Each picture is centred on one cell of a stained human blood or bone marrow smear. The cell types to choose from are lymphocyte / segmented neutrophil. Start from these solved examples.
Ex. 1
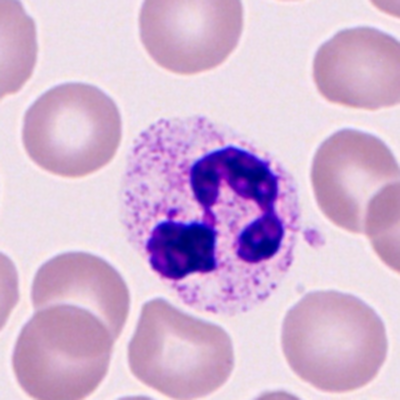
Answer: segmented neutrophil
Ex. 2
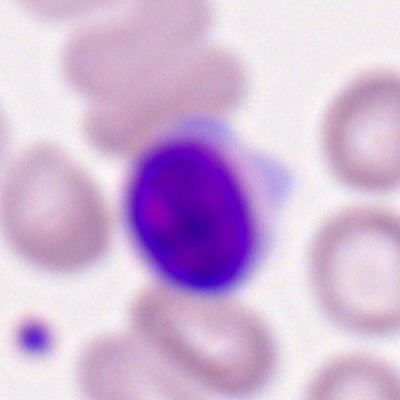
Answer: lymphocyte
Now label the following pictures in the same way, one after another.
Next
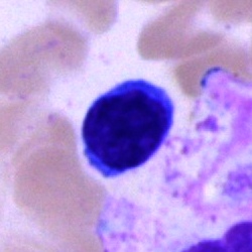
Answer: lymphocyte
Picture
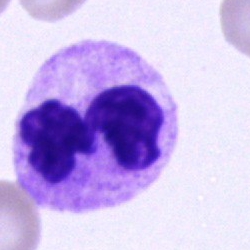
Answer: segmented neutrophil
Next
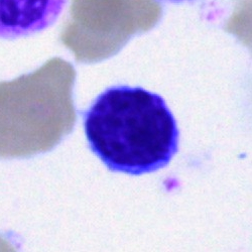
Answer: lymphocyte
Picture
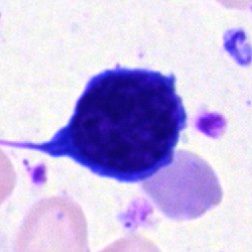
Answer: lymphocyte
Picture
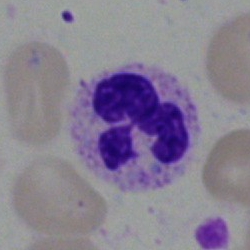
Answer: segmented neutrophil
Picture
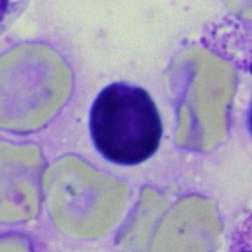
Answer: lymphocyte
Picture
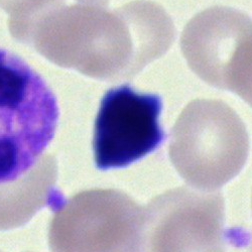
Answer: lymphocyte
